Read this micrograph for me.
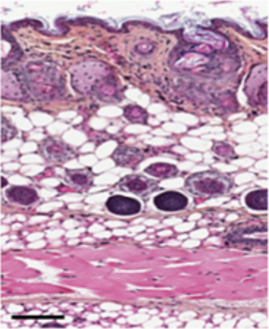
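This is a section of healthy skin, from the surface down to the underlying muscle. At the top a thin purple epidermis covers a narrow pink dermis in which several rounded hair follicles sit. Below lies a broad layer of subcutaneous fat made of large empty-looking fat cells with thin walls, with more hair follicle profiles embedded in it. At the bottom run bands of pink skeletal muscle.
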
